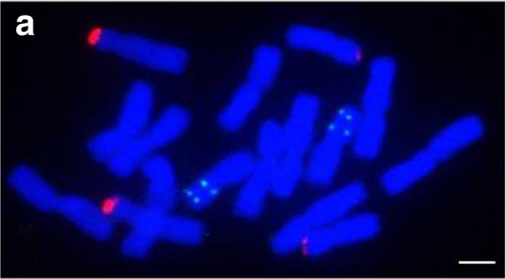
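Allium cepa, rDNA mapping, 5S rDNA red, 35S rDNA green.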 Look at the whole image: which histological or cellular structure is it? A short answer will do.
mitotic chromosomes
